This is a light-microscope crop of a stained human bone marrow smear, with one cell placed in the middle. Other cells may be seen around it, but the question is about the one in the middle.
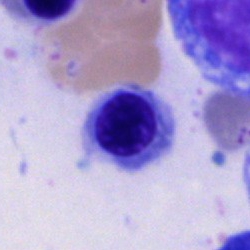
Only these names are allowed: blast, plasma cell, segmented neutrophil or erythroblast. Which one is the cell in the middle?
erythroblast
